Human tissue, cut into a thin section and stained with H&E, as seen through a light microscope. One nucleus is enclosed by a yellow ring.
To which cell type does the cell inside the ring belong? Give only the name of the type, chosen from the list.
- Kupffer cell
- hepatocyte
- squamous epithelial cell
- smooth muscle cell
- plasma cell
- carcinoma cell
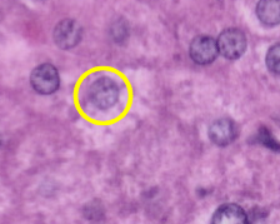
hepatocyte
